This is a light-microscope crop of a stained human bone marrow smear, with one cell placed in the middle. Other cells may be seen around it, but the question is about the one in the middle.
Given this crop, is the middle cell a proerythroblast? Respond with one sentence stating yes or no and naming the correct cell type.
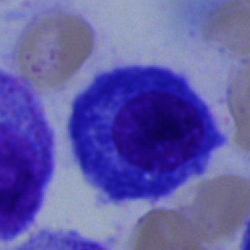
No, sorry, the middle cell is a plasma cell rather than a proerythroblast.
